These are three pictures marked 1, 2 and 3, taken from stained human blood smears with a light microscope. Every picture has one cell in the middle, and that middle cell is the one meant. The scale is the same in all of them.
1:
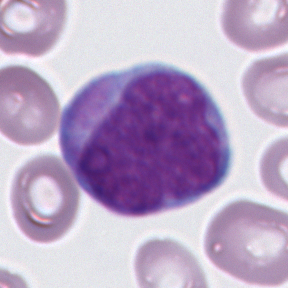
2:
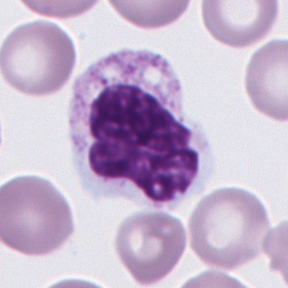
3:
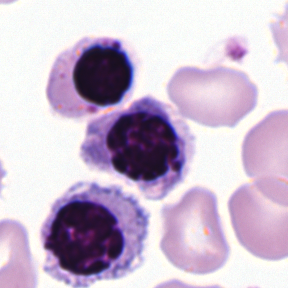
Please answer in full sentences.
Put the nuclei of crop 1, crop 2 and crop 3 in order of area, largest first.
Largest first: 1, 2, 3.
